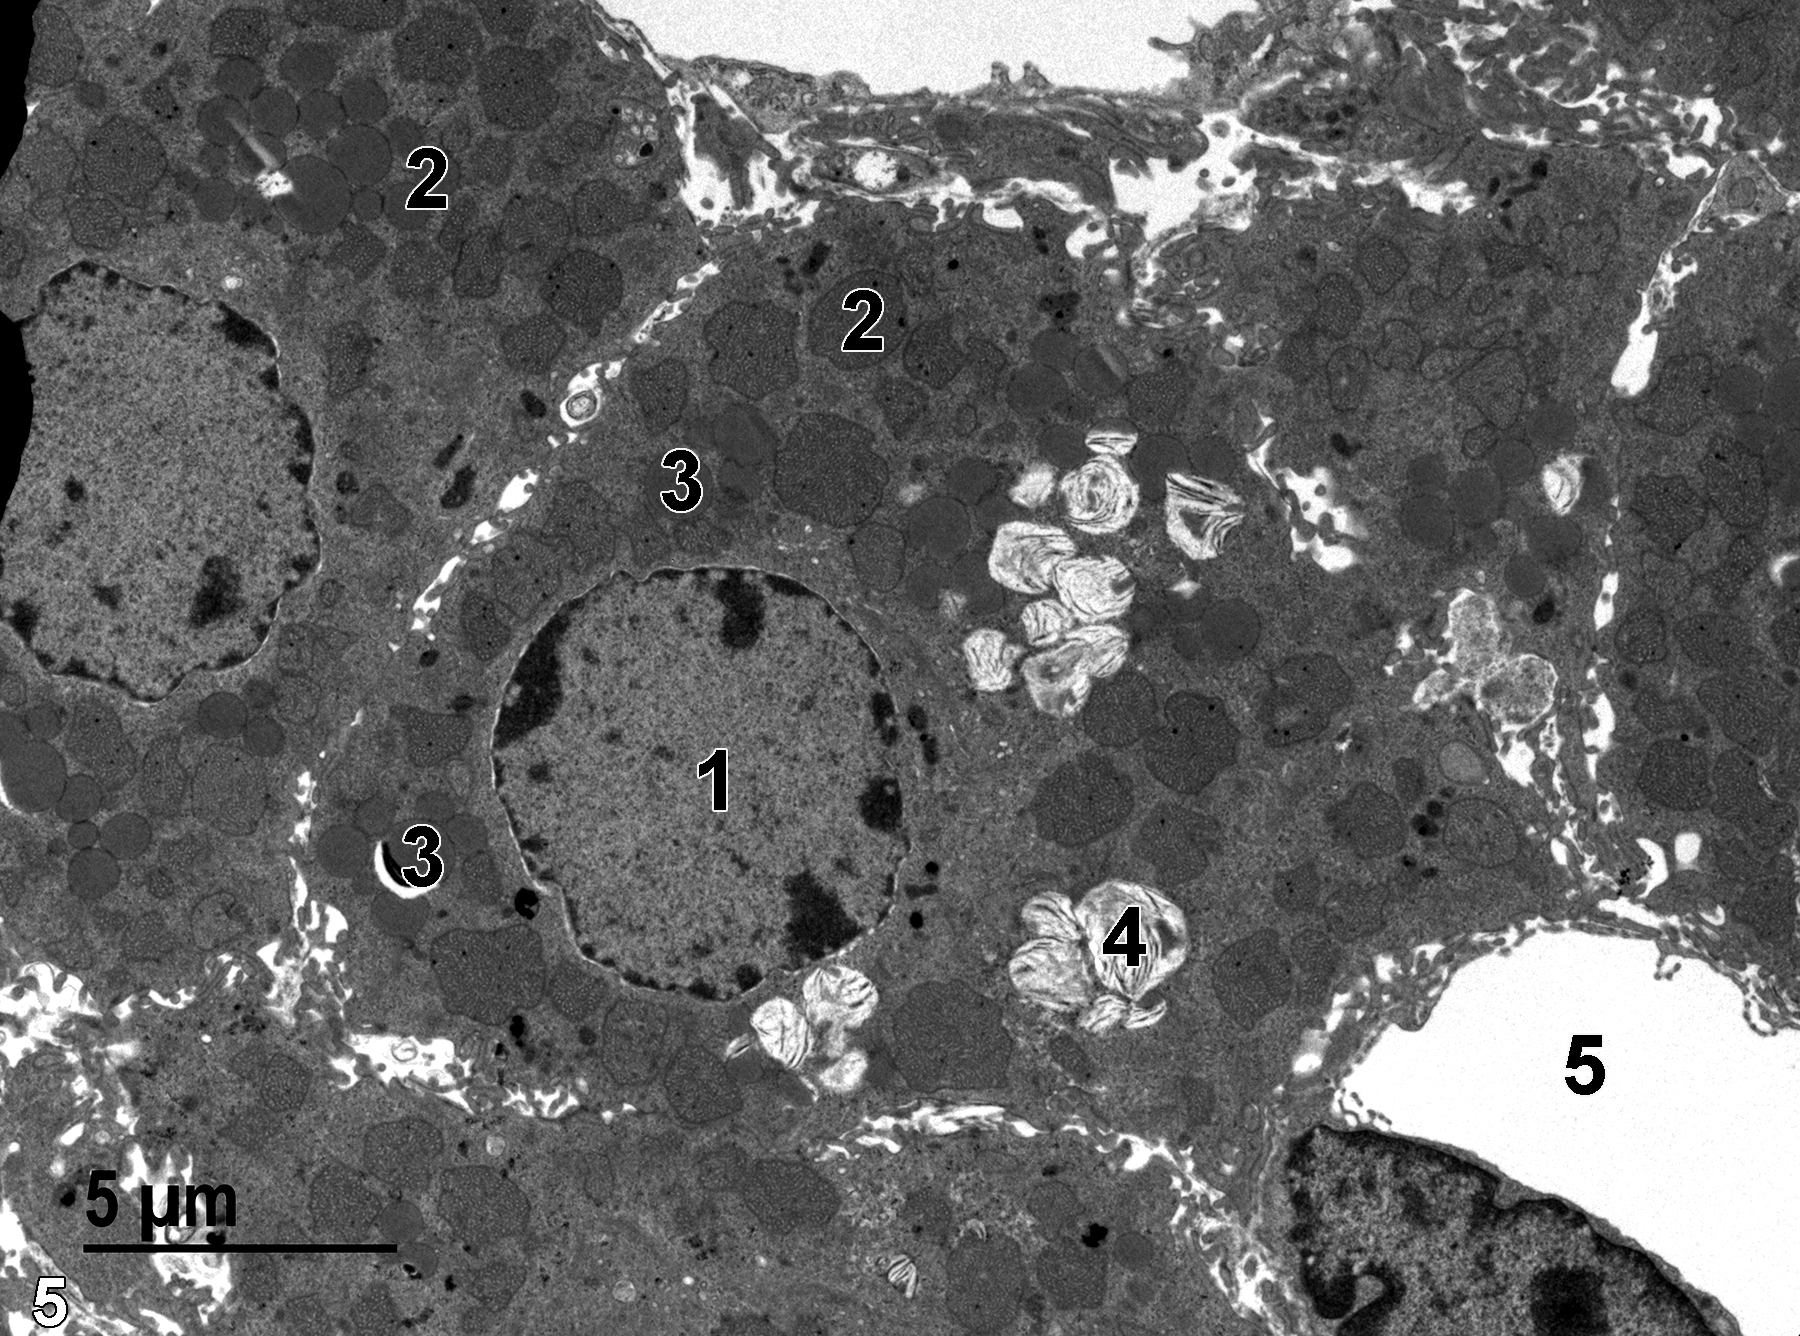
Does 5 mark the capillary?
Yes.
